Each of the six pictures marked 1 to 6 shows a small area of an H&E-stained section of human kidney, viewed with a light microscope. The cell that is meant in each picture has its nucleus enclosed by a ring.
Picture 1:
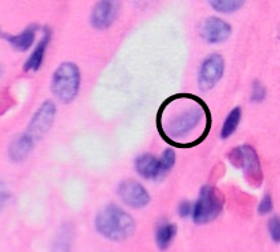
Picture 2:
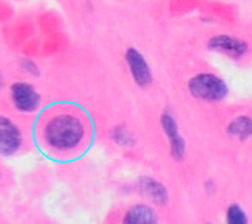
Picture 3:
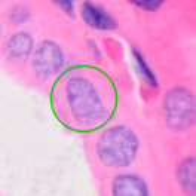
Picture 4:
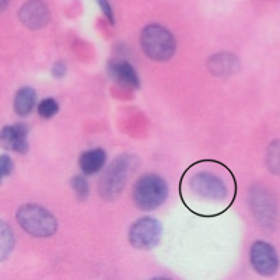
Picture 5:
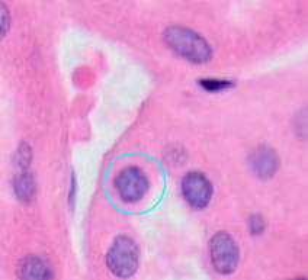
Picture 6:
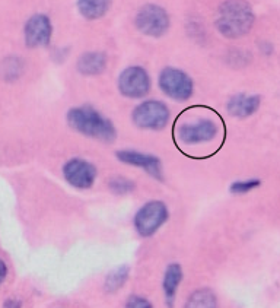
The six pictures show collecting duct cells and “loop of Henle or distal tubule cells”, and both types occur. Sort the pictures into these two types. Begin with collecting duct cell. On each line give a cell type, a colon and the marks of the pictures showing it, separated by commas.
collecting duct cell: 1, 3, 4
loop of Henle or distal tubule cell: 2, 5, 6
